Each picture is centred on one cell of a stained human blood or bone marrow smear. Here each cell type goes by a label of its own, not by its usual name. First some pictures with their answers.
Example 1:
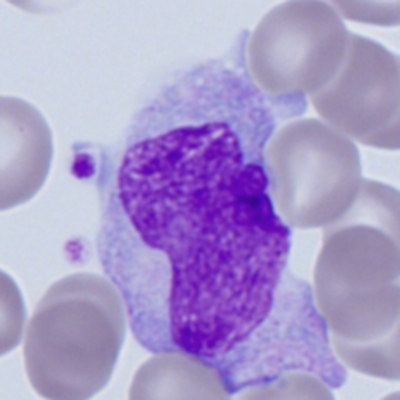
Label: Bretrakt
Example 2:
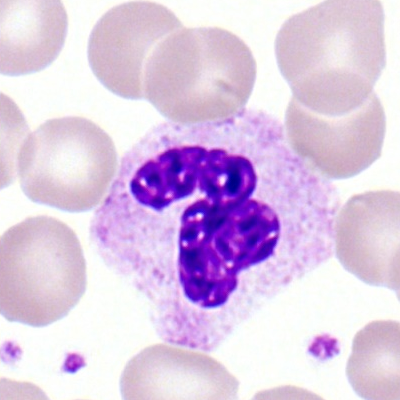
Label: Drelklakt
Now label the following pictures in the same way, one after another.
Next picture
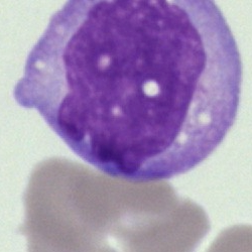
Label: Bretrakt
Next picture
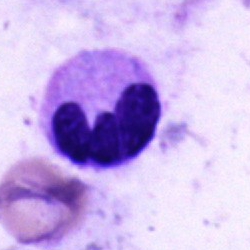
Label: Drelklakt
